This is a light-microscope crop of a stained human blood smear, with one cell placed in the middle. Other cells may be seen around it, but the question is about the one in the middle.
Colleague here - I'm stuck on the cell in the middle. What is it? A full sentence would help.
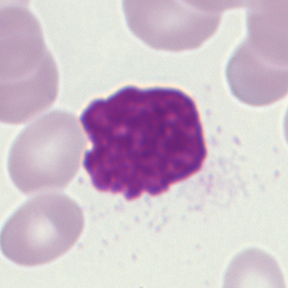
The cell positioned in the middle of the field is a smudge cell.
